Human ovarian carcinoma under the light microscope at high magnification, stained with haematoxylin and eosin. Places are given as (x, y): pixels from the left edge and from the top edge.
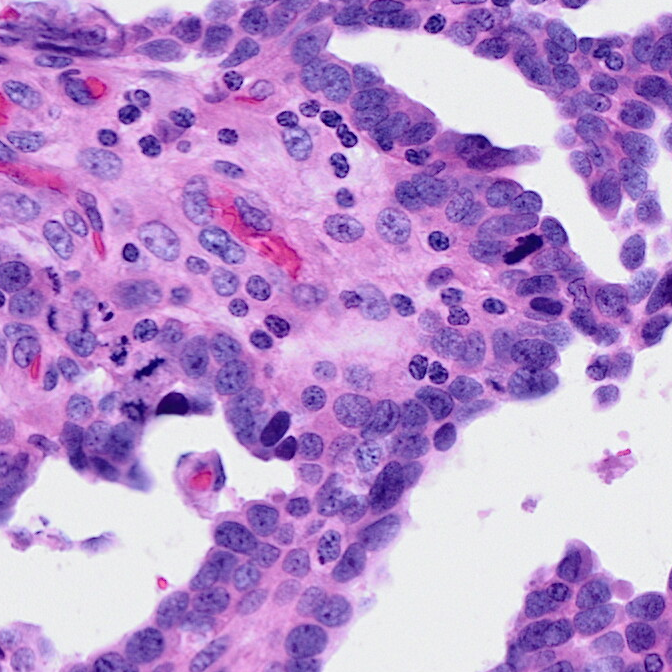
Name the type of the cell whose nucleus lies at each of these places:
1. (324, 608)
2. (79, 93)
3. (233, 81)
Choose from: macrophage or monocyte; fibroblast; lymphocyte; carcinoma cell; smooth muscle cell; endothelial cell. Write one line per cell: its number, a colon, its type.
1: carcinoma cell
2: endothelial cell
3: lymphocyte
